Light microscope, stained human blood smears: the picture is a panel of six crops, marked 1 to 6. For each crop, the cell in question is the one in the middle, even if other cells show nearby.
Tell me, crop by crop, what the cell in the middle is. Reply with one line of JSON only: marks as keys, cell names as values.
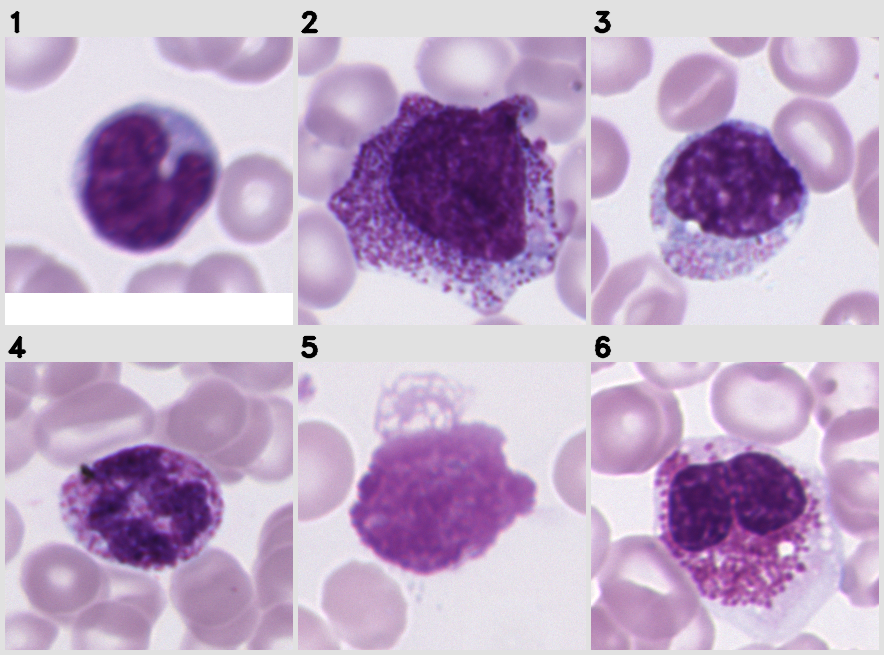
{"1": "typical lymphocyte", "2": "promyelocyte", "3": "myelocyte", "4": "basophil", "5": "smudge cell", "6": "eosinophil"}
